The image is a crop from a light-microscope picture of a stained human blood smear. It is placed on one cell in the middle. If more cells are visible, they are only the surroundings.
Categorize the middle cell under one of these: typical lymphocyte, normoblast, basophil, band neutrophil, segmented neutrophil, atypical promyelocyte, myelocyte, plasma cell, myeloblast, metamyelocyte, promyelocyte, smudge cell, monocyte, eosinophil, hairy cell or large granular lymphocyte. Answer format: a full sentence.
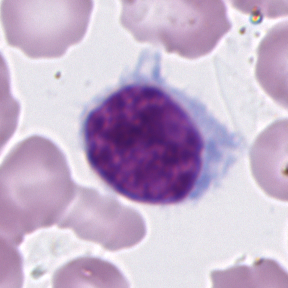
The centrally positioned cell in the crop represents a hairy cell.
